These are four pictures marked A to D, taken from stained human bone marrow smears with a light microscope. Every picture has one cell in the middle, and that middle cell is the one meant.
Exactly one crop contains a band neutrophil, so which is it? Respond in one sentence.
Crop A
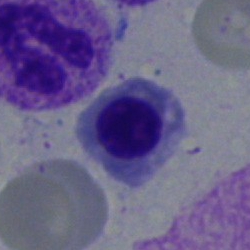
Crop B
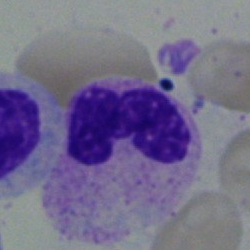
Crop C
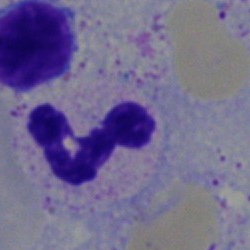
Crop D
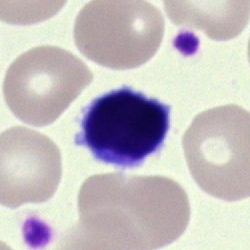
Crop B is the single crop that shows a band neutrophil.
